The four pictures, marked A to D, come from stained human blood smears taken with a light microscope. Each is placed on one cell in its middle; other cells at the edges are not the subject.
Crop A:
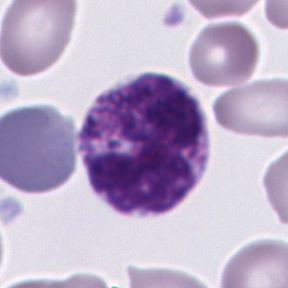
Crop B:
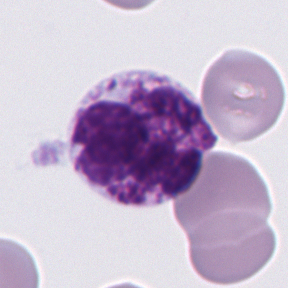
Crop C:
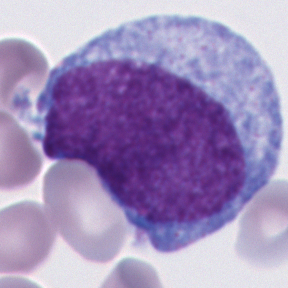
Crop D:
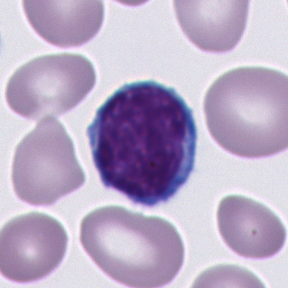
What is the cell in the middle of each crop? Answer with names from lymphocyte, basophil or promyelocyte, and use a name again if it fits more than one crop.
A: basophil
B: basophil
C: promyelocyte
D: lymphocyte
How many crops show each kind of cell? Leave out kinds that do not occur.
basophil: 2
promyelocyte: 1
lymphocyte: 1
